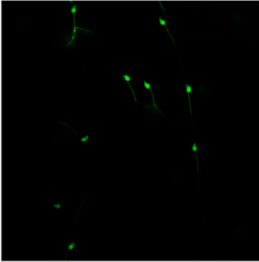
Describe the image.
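These are spermatozoa spread singly on a smear, glowing green on a dark background. Each cell has a small, bright, compact oval head, from which a long, thin, much fainter tail trails away. The cells lie scattered and separate, with heads pointing in different directions and no clumping.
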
